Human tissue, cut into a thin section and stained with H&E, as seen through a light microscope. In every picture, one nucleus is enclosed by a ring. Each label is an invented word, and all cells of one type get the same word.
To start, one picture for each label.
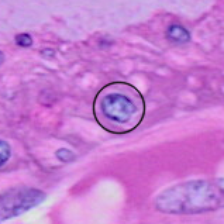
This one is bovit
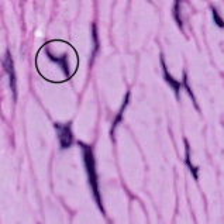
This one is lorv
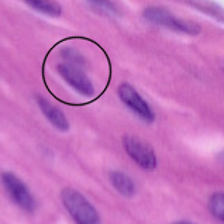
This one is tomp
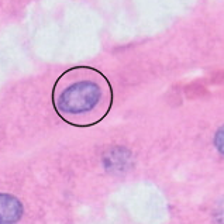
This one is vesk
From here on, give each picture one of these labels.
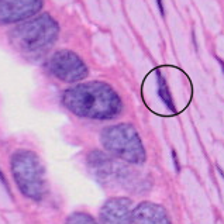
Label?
lorv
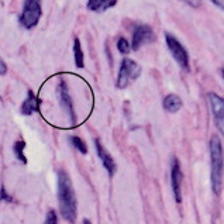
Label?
lorv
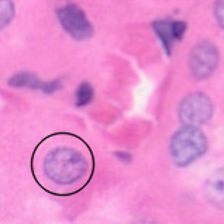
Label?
vesk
